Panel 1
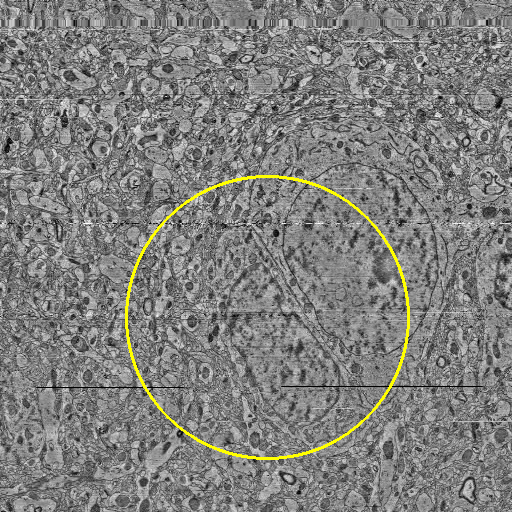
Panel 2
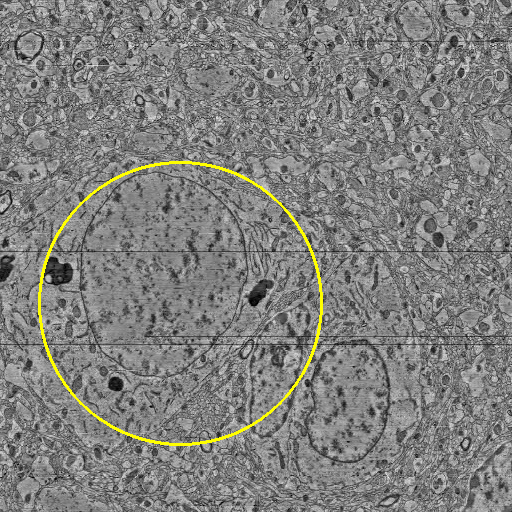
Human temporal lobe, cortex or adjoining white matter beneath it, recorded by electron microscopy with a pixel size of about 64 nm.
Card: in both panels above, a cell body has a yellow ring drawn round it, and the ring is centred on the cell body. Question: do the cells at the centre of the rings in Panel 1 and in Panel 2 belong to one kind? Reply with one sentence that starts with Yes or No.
No, the cells centred in the rings of Panel 1 and Panel 2 are two kinds of cell.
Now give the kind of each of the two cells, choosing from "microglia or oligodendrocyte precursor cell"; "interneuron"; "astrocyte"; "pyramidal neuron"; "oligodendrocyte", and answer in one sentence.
The cell in the first picture is an interneuron, and the cell in the second is a pyramidal neuron.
